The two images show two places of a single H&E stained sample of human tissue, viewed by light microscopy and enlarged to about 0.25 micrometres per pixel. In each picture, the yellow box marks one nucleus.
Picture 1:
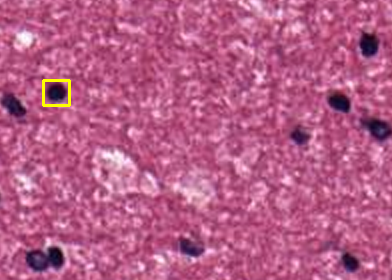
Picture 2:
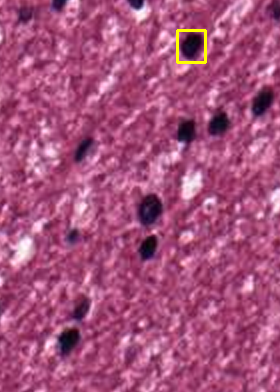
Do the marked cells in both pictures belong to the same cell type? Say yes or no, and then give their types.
Yes, both are oligodendrocytes.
